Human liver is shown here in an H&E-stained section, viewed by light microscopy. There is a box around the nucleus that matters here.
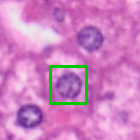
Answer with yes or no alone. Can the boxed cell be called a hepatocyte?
yes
